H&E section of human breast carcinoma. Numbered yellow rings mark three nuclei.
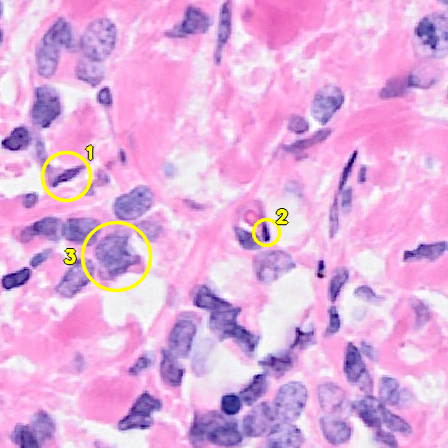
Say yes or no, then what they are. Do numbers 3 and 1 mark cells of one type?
No, just to clarify, cell 3 is a carcinoma cell and cell 1 is a fibroblast.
